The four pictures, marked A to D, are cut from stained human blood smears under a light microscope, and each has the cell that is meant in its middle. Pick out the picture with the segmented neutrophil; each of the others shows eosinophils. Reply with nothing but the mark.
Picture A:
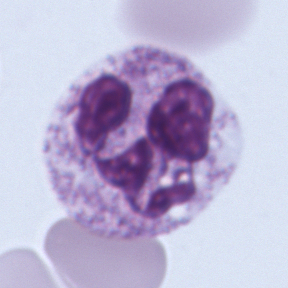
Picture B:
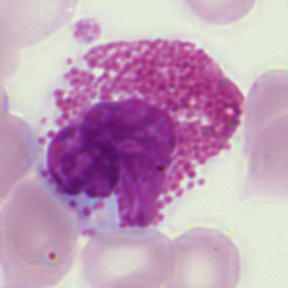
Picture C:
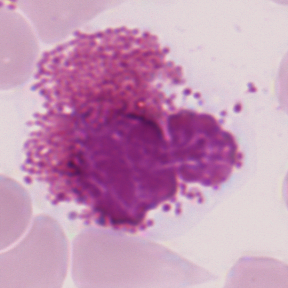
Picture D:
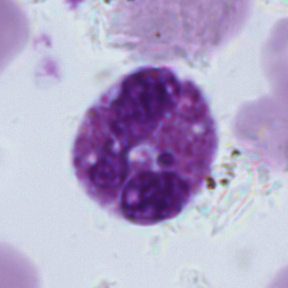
A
